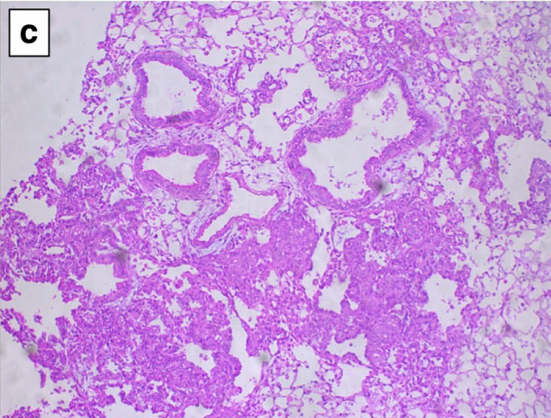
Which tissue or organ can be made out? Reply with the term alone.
alveoli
